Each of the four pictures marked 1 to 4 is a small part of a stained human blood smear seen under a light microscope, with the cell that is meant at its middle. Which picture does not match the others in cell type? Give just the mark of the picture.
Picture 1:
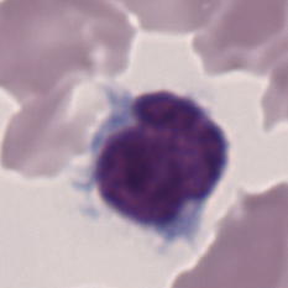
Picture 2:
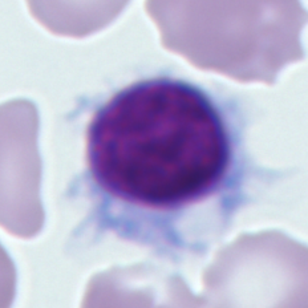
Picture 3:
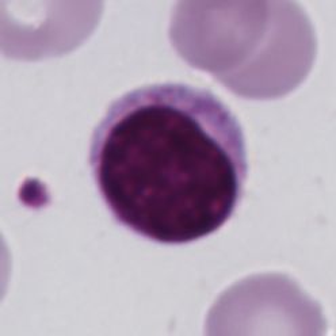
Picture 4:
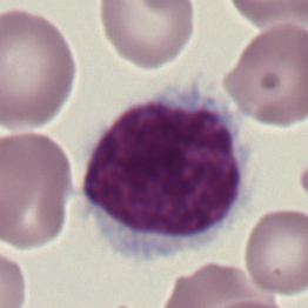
3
